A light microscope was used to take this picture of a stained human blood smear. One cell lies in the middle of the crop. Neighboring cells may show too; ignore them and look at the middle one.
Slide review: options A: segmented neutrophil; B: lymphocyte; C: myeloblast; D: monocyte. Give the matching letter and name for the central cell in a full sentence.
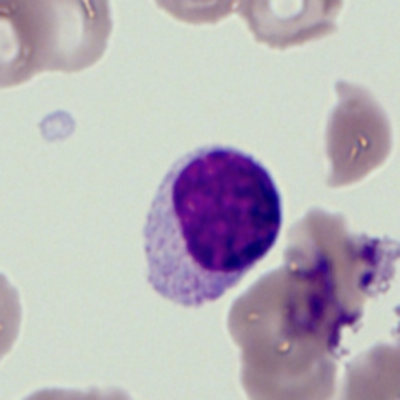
The cell in the middle is correctly identified as a lymphocyte in option B.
